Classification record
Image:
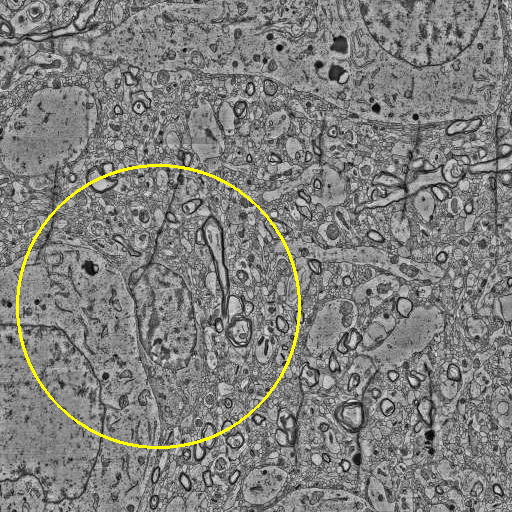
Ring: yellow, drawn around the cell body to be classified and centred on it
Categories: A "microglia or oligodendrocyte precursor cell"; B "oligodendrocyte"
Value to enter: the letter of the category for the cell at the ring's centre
B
